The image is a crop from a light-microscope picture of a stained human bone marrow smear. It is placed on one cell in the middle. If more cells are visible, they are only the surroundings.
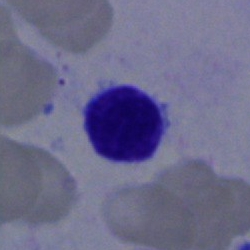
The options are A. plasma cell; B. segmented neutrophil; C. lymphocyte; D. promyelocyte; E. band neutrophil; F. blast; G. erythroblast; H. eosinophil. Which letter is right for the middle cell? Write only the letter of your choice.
C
